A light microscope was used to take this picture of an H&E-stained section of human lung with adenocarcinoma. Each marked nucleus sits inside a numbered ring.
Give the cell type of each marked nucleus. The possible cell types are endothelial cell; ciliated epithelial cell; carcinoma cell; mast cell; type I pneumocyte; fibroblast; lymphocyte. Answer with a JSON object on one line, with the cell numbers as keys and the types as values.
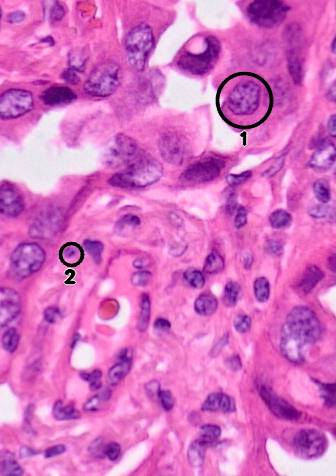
{"1": "carcinoma cell", "2": "lymphocyte"}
